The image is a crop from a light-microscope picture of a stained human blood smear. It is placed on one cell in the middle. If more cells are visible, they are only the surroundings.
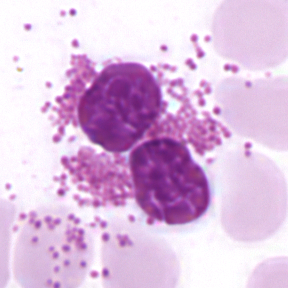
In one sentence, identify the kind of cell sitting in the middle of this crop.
The middle position in this crop is taken by an eosinophil.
